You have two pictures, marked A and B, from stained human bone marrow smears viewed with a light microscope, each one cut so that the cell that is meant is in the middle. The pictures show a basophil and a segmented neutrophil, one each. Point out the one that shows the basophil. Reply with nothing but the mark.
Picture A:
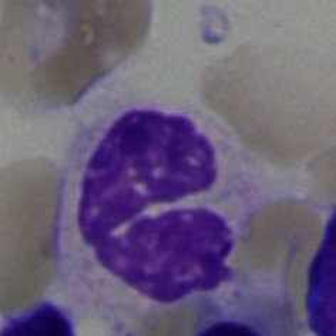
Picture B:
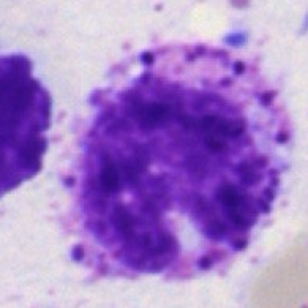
B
